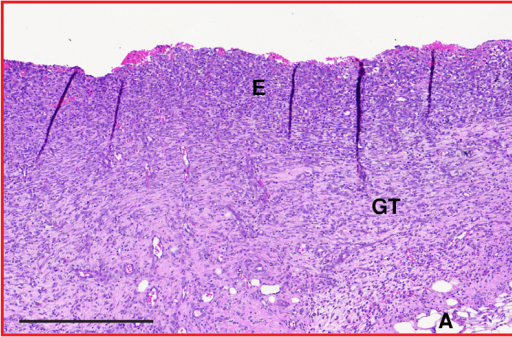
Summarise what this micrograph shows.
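Along the top, a band of densely packed cells with dark purple nuclei forms the surface, with a thin pink crust at the edge. Beneath it, the granulation tissue is paler and pink, with scattered spindle-shaped nuclei in a loose fibrous matrix and small open vessel spaces. Near the lower edge, empty, rounded clear spaces mark fat cells. Several dark vertical lines cross the surface layer; these are folds or cuts in the section.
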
